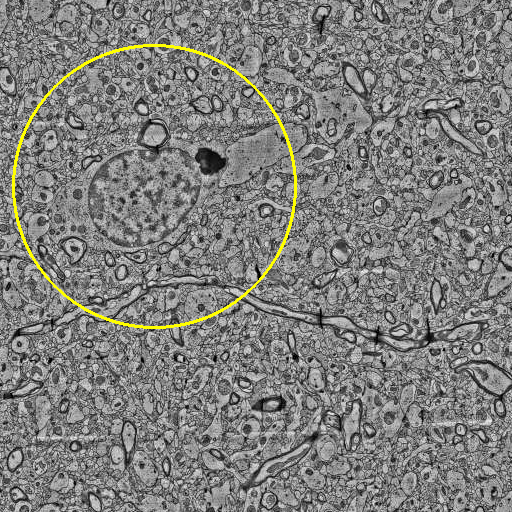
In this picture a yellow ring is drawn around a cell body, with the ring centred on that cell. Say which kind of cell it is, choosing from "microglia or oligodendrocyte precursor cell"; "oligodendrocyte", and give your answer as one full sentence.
Here it is an oligodendrocyte that sits at the centre of the drawn yellow ring.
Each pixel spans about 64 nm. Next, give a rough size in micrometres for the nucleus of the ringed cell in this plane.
About 7 by 6 micrometres in this plane.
